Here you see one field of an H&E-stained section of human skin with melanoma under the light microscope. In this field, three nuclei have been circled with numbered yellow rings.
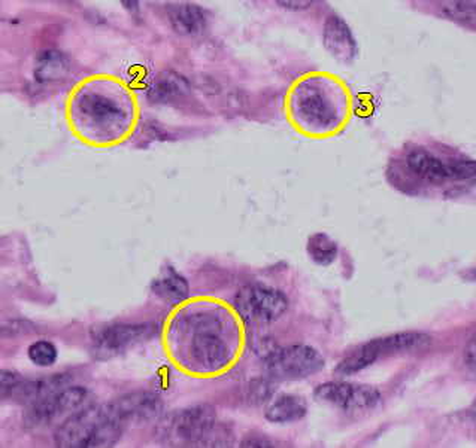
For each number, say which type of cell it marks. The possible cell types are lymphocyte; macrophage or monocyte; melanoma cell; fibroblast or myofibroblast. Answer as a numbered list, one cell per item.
1. melanoma cell
2. macrophage or monocyte
3. melanoma cell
